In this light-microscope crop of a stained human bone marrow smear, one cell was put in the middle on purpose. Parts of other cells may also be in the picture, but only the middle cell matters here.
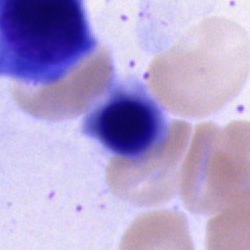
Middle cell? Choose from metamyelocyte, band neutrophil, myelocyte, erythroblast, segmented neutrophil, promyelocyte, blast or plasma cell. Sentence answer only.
The centrally positioned cell in the crop represents an erythroblast.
